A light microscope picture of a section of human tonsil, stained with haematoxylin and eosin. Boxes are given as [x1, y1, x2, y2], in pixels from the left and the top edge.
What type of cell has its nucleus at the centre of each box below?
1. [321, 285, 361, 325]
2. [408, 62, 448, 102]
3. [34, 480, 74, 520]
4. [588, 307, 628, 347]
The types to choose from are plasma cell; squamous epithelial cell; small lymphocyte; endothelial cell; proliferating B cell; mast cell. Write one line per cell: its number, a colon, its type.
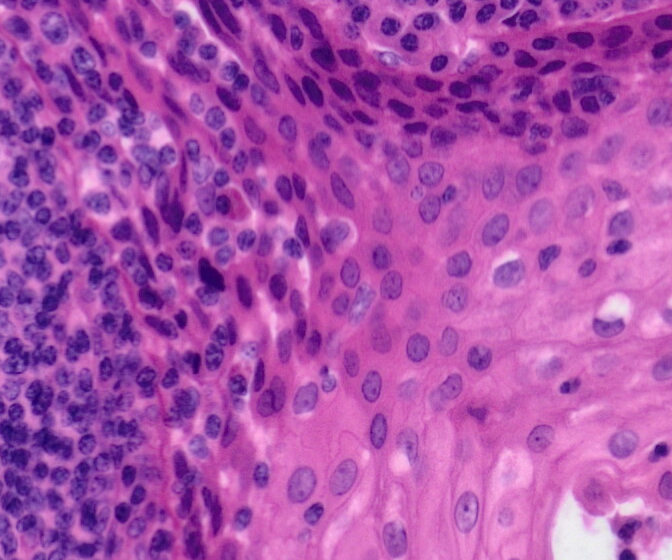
1: squamous epithelial cell
2: squamous epithelial cell
3: small lymphocyte
4: squamous epithelial cell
